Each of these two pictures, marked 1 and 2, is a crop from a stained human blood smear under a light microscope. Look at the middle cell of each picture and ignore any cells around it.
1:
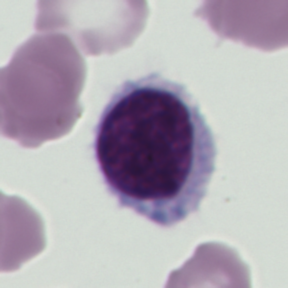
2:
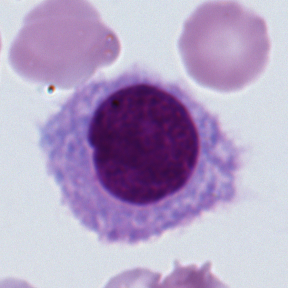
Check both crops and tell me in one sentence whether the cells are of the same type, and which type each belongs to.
Yes, the first and the second crop both show hairy cells.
